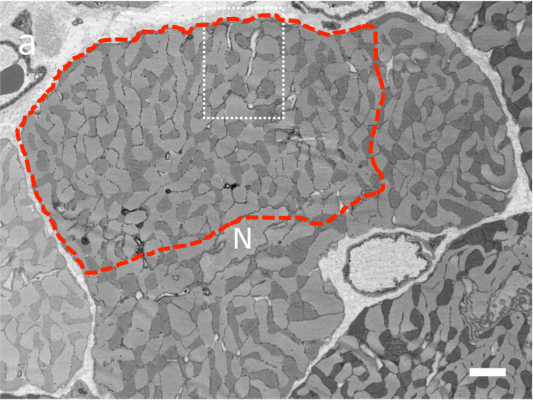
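A cardiac myocyte is seen in cross-section, its interior packed with irregular grey profiles of myofibrils separated by darker mitochondria and fine black reticular lines. A nucleus lies near the lower edge of the outlined region, and small white tubular profiles are scattered through the cytoplasm. Pale extracellular space surrounds the cell, with a capillary containing a pale lumen lying beside it at the lower right.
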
